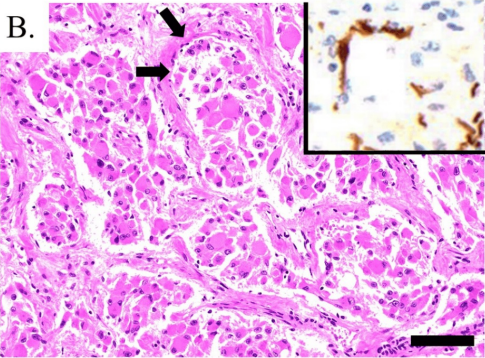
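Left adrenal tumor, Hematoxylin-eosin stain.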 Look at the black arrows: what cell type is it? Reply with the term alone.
Sustentacular cells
